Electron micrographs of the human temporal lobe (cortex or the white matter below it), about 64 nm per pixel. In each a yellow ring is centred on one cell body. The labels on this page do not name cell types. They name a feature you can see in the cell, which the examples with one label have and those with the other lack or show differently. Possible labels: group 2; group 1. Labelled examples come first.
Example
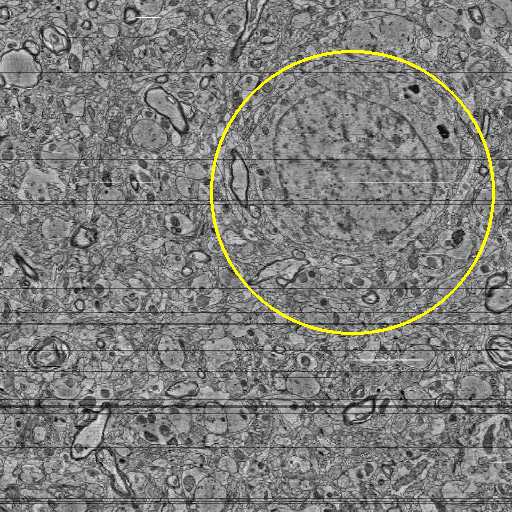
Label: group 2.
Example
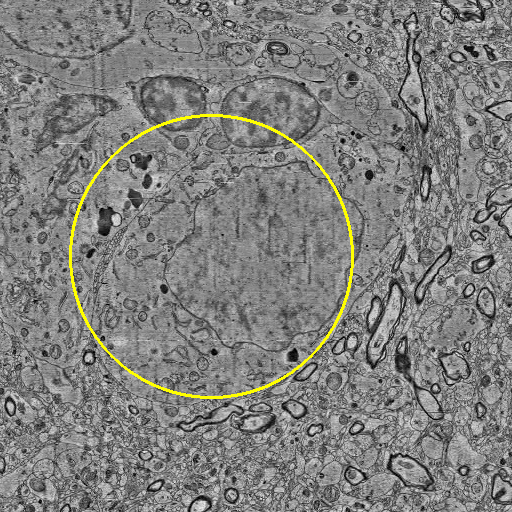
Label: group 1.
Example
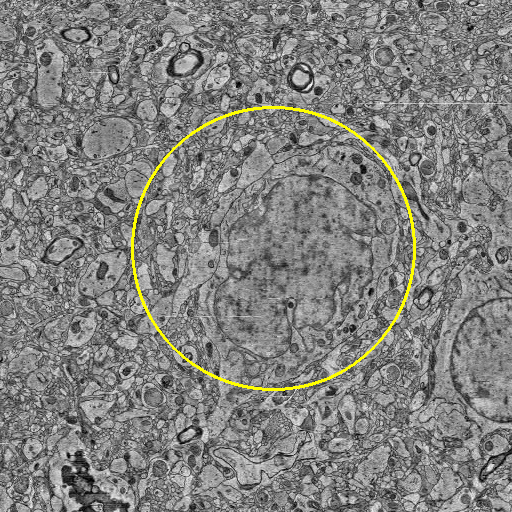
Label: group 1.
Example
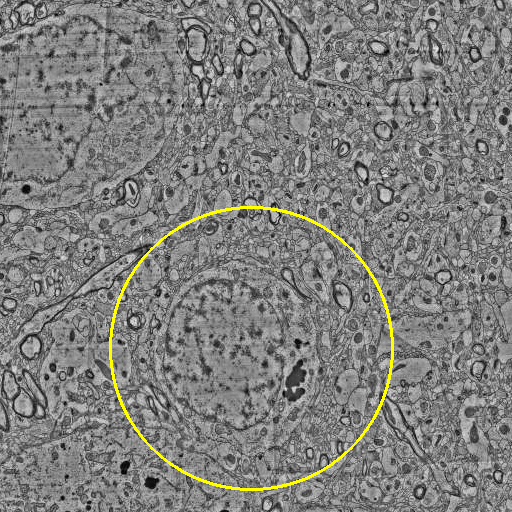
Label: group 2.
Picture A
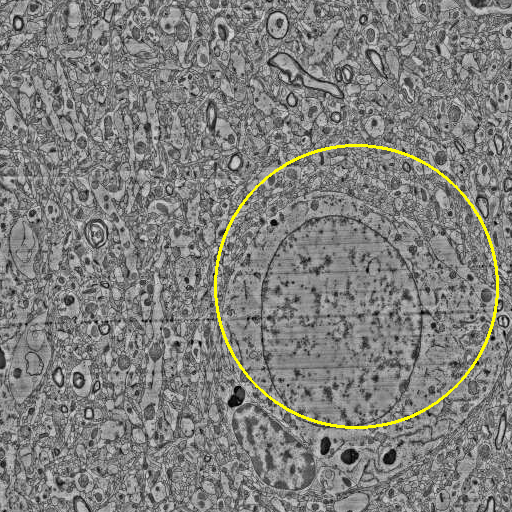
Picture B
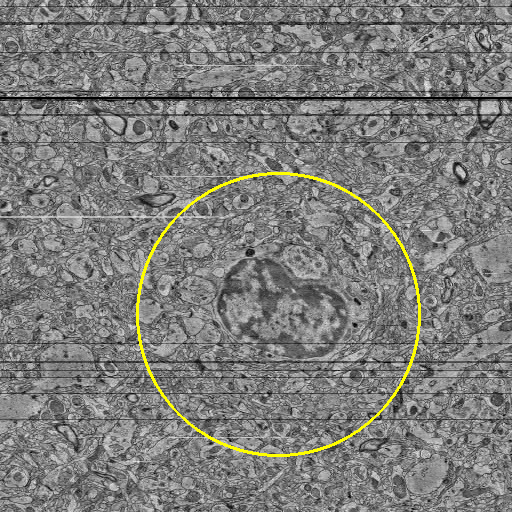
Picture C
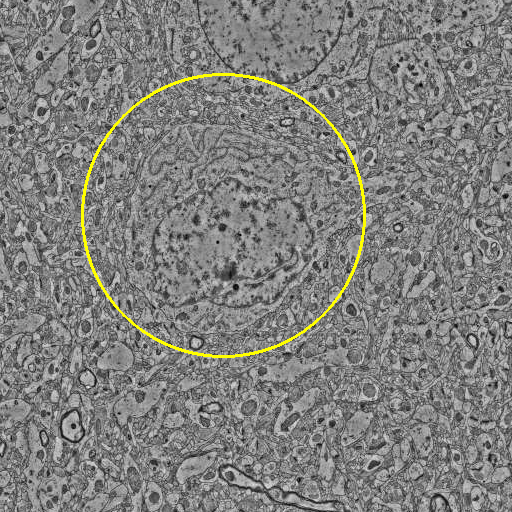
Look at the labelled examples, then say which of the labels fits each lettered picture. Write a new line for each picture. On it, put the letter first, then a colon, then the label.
A: group 2.
B: group 1.
C: group 1.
